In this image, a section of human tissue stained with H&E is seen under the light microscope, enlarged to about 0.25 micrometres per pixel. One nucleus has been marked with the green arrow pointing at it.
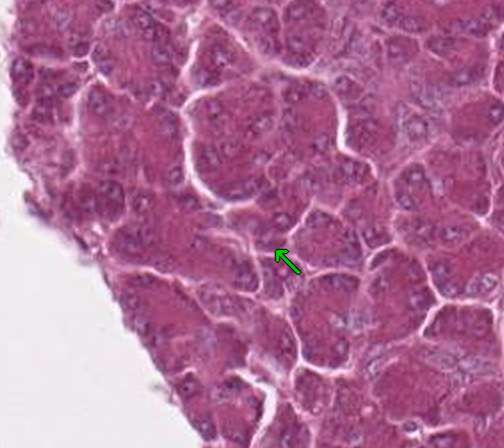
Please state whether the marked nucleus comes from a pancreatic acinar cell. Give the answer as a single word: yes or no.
yes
